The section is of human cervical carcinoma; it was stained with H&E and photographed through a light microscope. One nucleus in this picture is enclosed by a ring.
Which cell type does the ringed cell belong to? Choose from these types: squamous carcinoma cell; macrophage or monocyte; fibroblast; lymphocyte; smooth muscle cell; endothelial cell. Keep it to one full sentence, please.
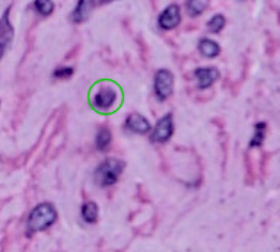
Within this tissue, the ringed cell is a smooth muscle cell.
